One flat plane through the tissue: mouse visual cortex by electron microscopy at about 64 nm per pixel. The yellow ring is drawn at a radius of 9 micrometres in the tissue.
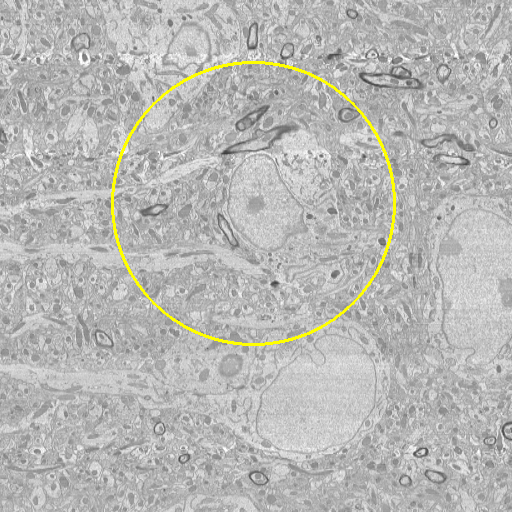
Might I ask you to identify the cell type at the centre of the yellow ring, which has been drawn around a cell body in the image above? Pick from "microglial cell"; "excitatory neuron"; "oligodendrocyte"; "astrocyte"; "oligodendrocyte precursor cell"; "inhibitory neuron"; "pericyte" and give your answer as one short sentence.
The centre of the ring falls on an oligodendrocyte precursor cell.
